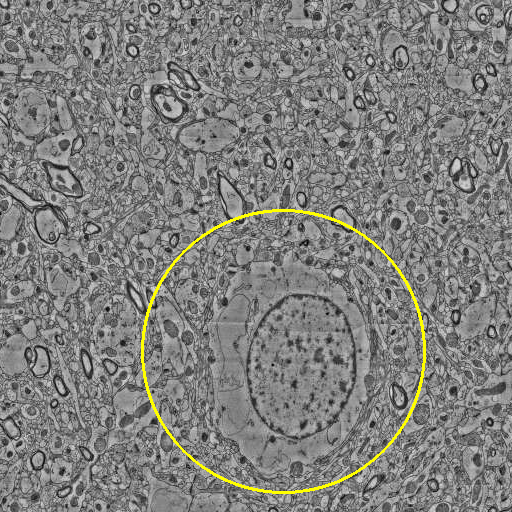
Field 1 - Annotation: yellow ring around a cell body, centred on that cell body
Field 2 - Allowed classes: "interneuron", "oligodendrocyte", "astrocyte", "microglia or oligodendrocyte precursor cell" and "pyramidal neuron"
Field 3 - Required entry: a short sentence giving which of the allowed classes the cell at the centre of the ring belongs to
The centred cell is an astrocyte.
